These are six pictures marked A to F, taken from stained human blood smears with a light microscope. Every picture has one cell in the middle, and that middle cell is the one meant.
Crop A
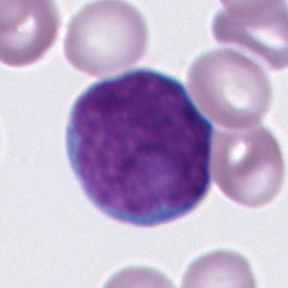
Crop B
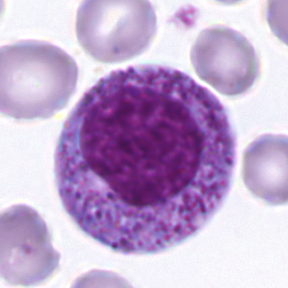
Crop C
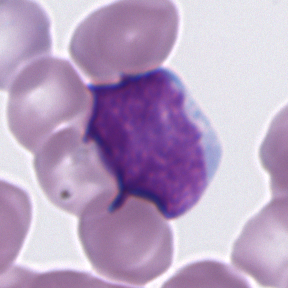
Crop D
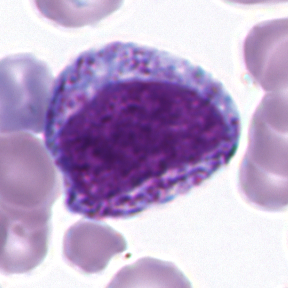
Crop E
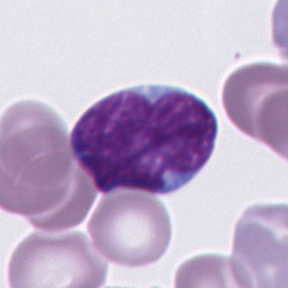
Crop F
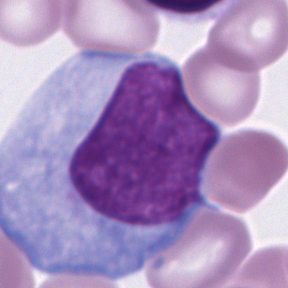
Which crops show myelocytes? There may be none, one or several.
none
